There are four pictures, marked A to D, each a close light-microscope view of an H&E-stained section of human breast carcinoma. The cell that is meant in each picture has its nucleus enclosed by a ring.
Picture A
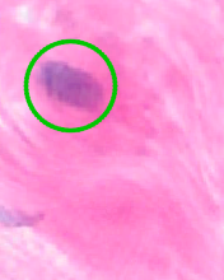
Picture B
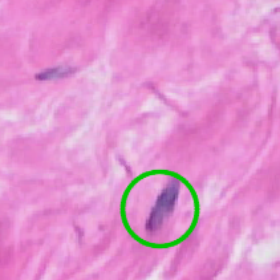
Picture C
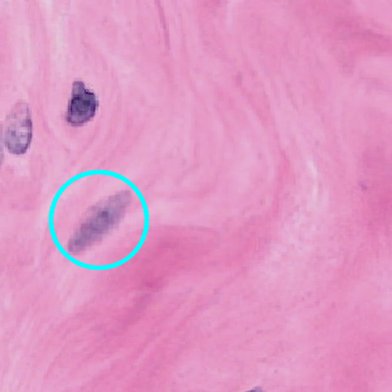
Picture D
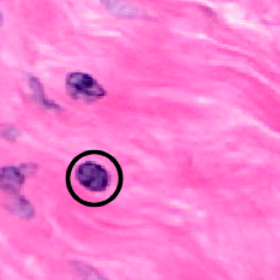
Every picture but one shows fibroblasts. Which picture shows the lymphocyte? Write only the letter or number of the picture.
D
